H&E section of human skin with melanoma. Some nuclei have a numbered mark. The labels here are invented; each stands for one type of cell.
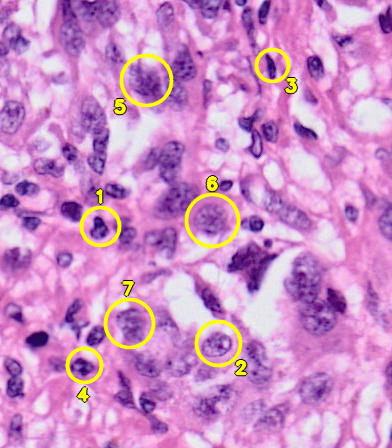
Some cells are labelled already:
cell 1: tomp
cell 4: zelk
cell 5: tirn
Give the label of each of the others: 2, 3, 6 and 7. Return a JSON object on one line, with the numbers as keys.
{"2": "tirn", "3": "tomp", "6": "tirn", "7": "tirn"}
